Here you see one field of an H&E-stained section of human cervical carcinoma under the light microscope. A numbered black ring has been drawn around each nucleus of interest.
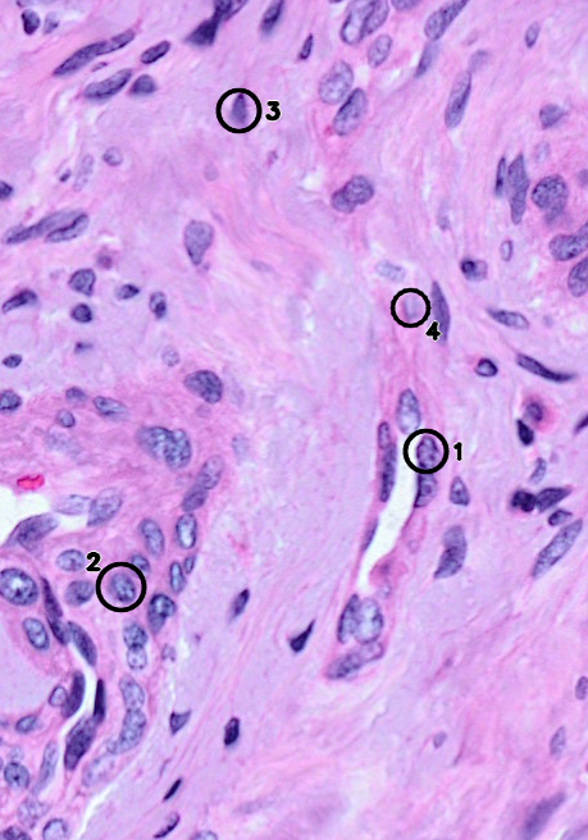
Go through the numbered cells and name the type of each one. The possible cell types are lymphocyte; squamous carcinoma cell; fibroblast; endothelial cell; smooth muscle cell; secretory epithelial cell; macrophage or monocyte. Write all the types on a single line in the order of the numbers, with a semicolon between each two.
endothelial cell; smooth muscle cell; fibroblast; smooth muscle cell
